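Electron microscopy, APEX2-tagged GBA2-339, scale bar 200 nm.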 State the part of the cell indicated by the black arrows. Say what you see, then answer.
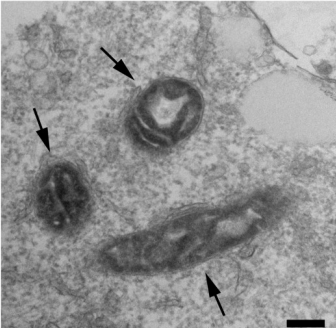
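Round to elongated organelles with a double outer membrane. Inner membrane folds visible inside. Their contents are darker than the surrounding cytoplasm. That points to this answer: mitochondria.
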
